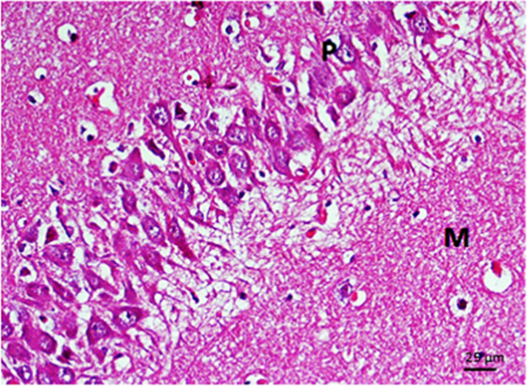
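This section of hippocampus shows a band of closely packed pyramidal neurons with triangular, purple-stained cell bodies. Beside the band lies a pale pink, finely fibrillar neuropil with scattered small, dark glial nuclei, some sitting in clear halos.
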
